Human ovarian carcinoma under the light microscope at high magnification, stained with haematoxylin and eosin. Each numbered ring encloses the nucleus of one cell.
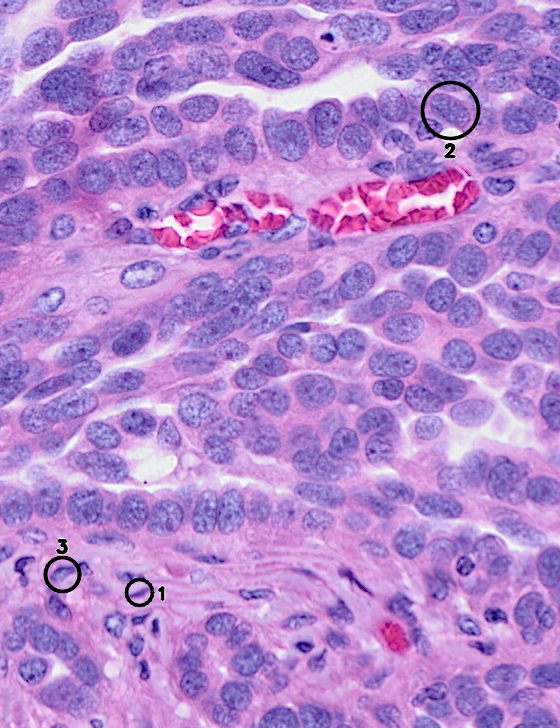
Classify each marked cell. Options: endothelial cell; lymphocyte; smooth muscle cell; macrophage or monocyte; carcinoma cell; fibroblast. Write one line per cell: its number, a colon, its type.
1: fibroblast
2: carcinoma cell
3: fibroblast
